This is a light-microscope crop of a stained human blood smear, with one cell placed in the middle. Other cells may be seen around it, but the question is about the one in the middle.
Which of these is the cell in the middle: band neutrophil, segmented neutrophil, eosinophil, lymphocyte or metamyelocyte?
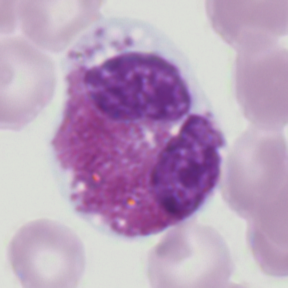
eosinophil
